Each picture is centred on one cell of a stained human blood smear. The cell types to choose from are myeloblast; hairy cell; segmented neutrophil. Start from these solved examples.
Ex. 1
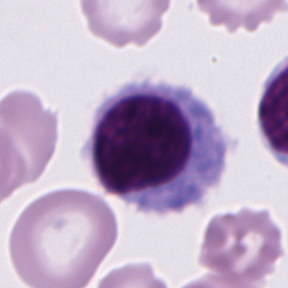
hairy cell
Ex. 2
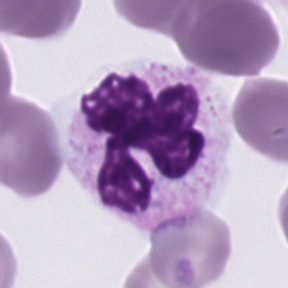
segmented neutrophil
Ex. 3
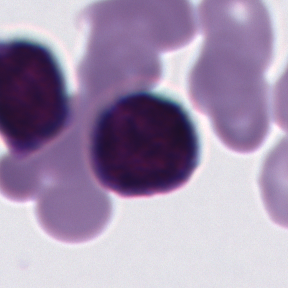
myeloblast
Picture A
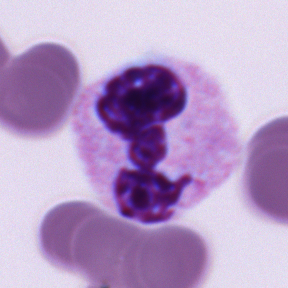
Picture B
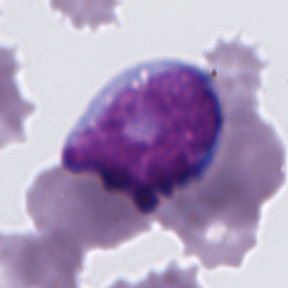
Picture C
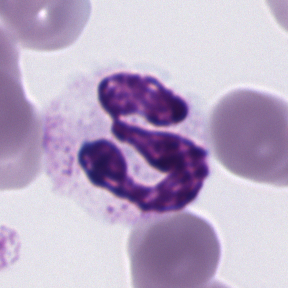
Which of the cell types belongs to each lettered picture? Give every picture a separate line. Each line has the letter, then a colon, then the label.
A: segmented neutrophil
B: myeloblast
C: segmented neutrophil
